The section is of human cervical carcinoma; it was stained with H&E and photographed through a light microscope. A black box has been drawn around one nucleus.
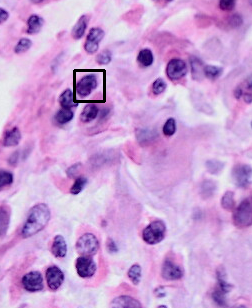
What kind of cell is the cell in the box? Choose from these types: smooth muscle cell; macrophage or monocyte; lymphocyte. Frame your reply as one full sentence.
The identity of the cell in the box: it is a lymphocyte.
